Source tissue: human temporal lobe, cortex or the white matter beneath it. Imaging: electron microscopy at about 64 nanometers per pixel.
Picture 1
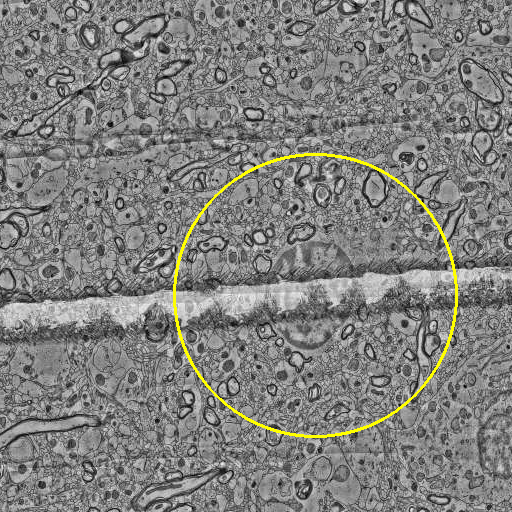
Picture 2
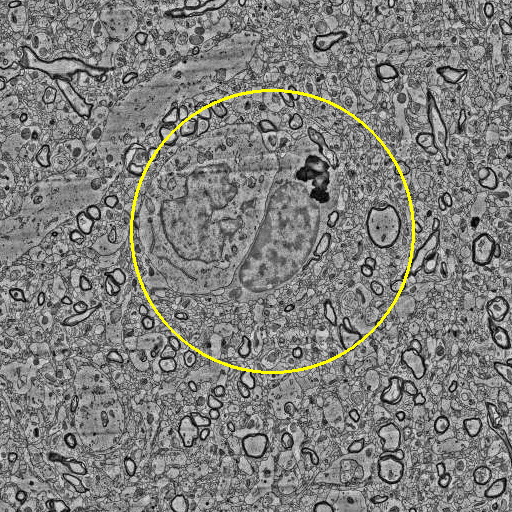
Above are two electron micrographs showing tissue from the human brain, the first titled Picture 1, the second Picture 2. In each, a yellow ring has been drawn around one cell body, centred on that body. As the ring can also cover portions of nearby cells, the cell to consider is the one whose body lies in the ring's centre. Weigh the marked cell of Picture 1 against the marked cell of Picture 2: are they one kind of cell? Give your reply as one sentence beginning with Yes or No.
Yes, the two cells sitting at the ring centres in the pictures are of one kind.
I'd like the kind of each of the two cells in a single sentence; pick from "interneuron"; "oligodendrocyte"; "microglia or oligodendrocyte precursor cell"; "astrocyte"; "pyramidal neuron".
Each cell at the centre of a ring is an oligodendrocyte.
